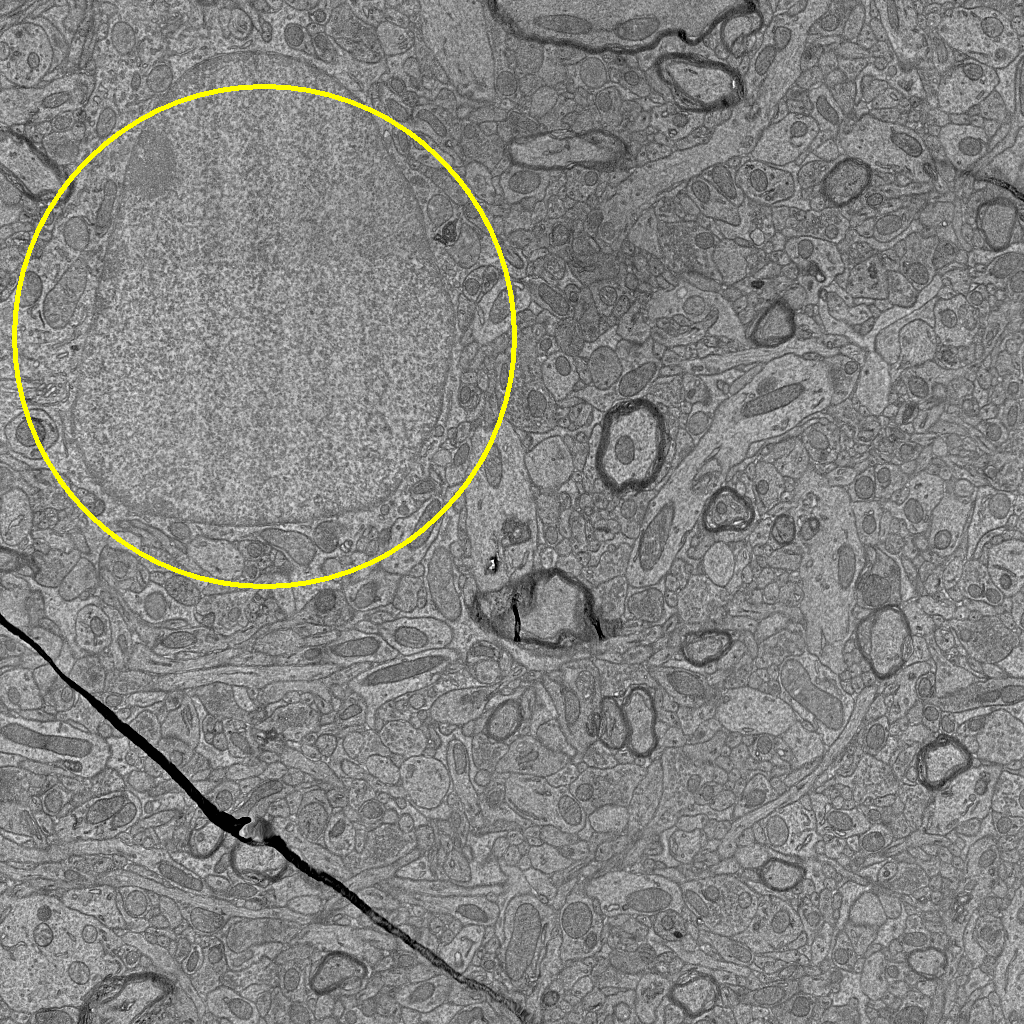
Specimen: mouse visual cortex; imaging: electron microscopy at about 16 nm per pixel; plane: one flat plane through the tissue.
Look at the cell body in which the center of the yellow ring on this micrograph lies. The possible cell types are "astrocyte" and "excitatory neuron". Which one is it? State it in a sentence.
The cell at the middle of the ring is an astrocyte.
